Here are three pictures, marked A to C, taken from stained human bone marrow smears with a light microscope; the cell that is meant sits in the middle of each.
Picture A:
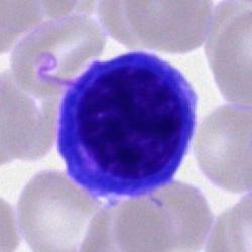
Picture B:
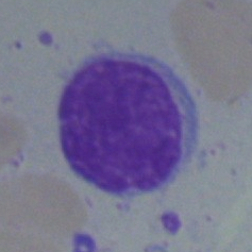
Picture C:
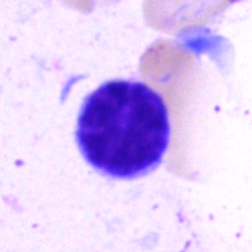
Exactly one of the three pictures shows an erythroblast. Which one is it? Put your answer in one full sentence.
The picture with the erythroblast is A.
